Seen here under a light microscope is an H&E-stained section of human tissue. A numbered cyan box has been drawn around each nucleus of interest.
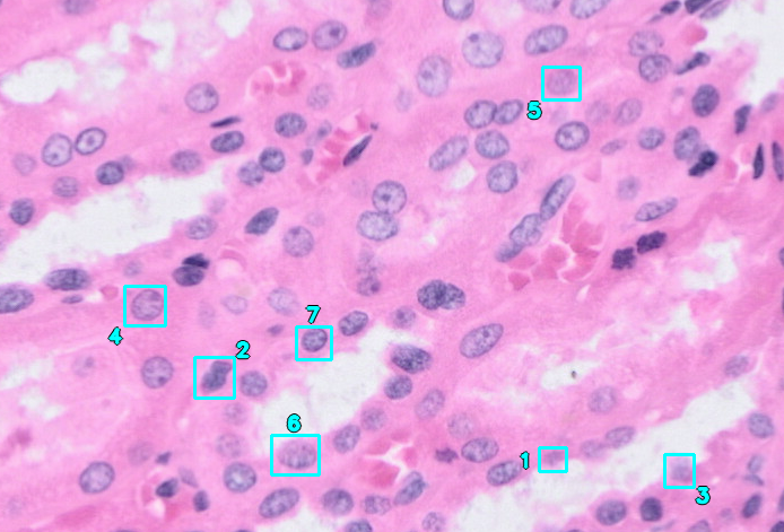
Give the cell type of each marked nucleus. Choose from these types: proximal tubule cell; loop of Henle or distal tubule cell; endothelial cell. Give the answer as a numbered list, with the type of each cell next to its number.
1. loop of Henle or distal tubule cell
2. endothelial cell
3. loop of Henle or distal tubule cell
4. proximal tubule cell
5. proximal tubule cell
6. loop of Henle or distal tubule cell
7. loop of Henle or distal tubule cell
